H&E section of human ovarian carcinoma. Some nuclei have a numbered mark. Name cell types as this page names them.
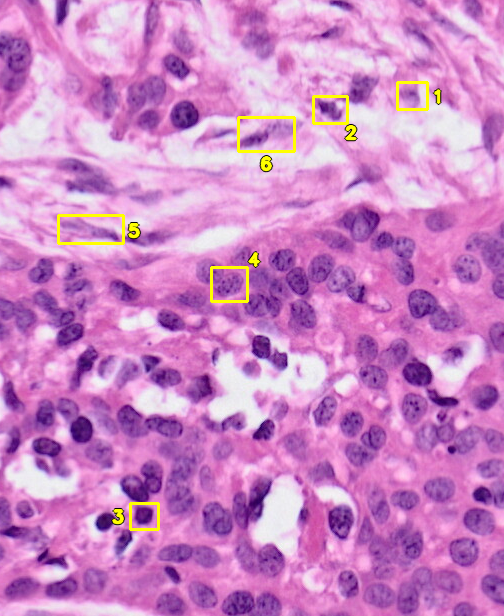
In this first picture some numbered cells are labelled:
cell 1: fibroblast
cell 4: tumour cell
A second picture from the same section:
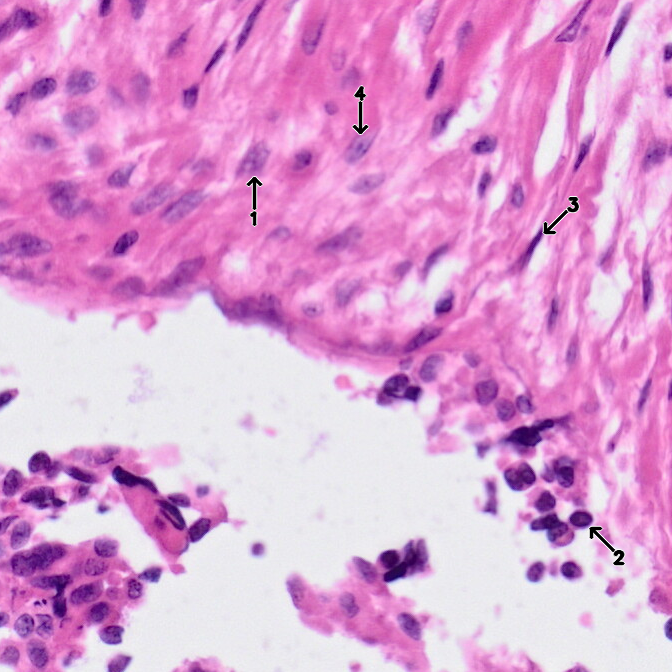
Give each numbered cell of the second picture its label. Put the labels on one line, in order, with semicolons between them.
fibroblast; tumour cell; fibroblast; fibroblast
